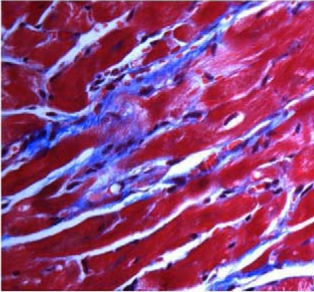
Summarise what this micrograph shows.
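This is heart muscle in which the cardiac muscle fibres stain red and run obliquely across the field. Dark purple, elongated nuclei lie within and between the fibres. Between the fibres there are many white clefts, and the fibres appear separated and disarrayed rather than tightly packed. Through the middle of the field runs a band of blue-stained fibrous material, spreading between the muscle fibres. Small round and spindle-shaped nuclei are scattered within this blue-stained area.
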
